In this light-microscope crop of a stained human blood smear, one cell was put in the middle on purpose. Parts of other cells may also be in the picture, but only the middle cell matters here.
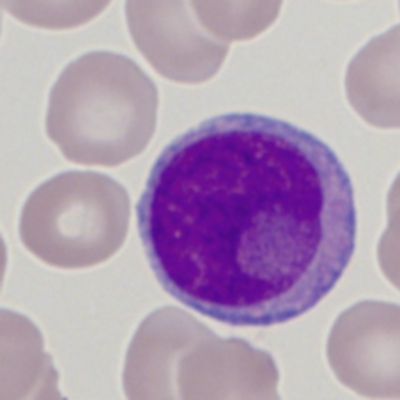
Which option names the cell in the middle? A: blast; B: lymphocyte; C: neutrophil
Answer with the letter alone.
A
